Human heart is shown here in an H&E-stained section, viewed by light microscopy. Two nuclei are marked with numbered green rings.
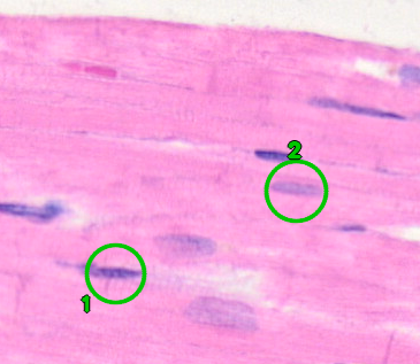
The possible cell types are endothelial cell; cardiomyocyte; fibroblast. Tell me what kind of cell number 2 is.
cardiomyocyte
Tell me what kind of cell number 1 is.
endothelial cell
